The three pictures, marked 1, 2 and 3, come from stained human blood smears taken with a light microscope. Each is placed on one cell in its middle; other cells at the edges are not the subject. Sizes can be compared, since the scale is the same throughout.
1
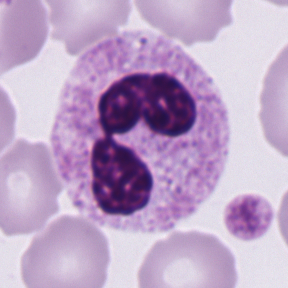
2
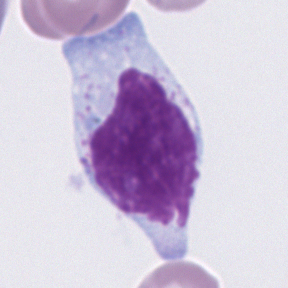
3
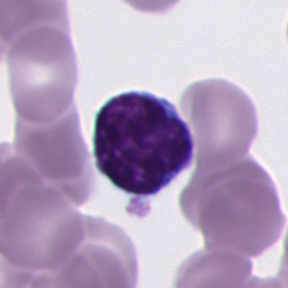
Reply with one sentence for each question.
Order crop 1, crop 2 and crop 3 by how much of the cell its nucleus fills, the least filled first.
From the least filled to the most, the order is 1, 2, 3.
